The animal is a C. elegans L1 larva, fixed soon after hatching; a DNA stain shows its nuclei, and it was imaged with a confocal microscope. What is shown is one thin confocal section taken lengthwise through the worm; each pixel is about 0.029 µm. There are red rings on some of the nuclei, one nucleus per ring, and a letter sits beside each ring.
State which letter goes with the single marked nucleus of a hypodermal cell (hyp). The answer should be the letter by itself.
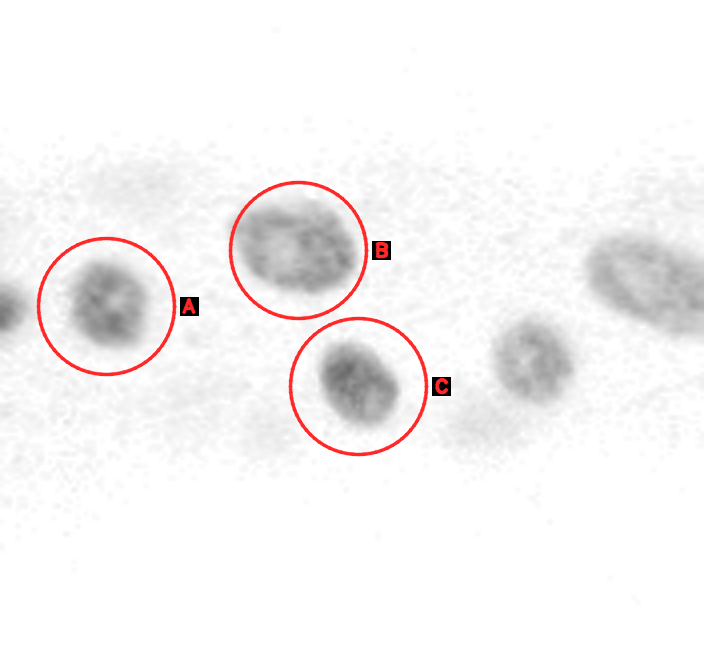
B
